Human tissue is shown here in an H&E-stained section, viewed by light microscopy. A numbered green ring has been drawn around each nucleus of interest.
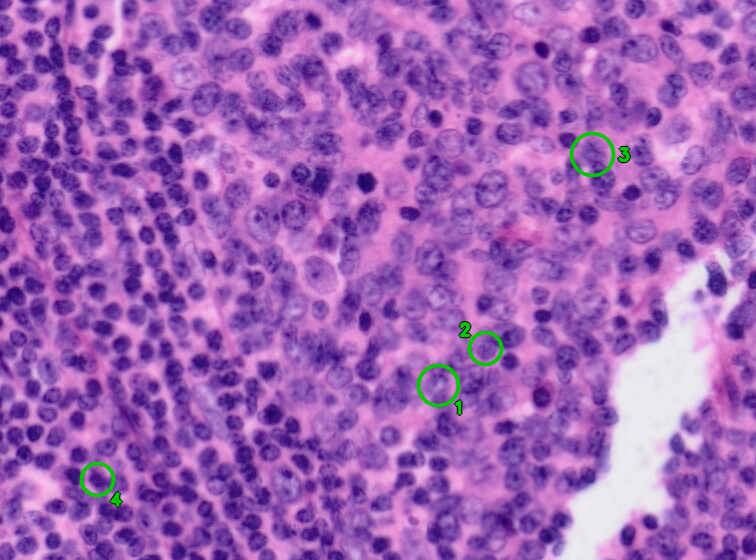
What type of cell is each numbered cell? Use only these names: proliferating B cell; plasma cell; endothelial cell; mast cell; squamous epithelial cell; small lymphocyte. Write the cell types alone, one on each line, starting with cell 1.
proliferating B cell
proliferating B cell
proliferating B cell
small lymphocyte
